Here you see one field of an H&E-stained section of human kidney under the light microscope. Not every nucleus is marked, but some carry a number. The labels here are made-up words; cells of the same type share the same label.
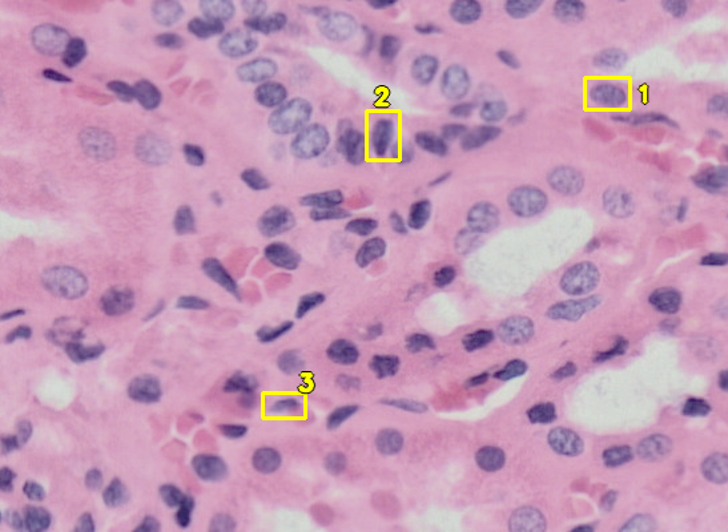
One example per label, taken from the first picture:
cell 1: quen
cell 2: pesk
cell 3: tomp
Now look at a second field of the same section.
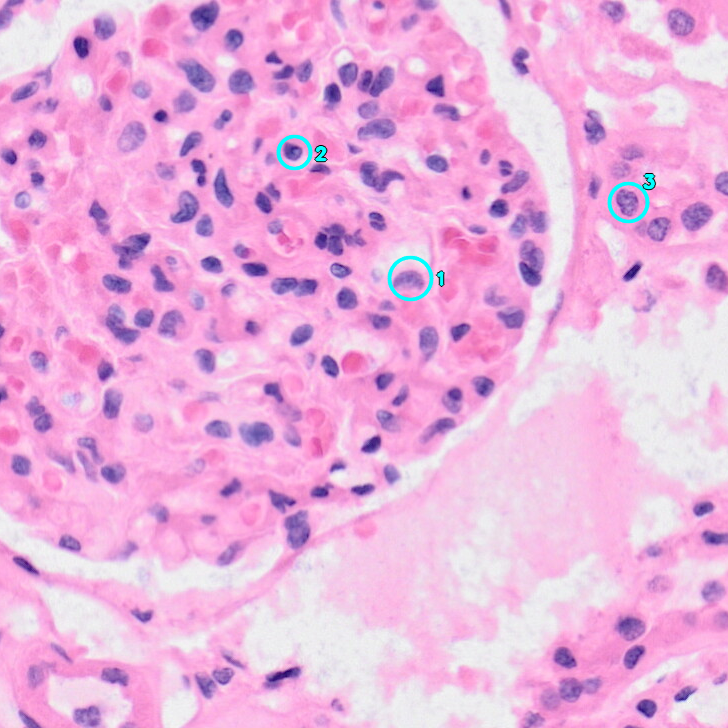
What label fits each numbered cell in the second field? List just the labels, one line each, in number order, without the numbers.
tomp
tomp
pesk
